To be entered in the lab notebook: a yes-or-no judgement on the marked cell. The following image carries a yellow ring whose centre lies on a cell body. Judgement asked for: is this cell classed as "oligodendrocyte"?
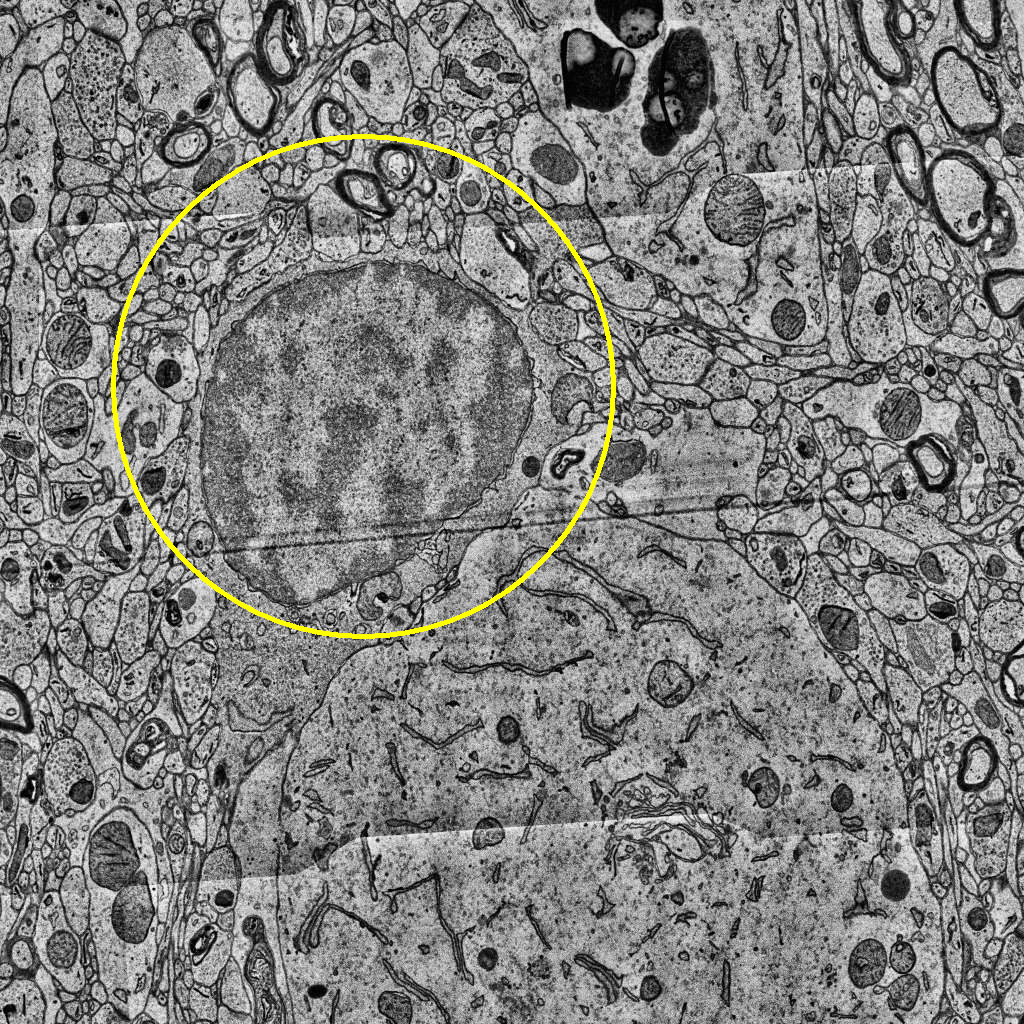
Yes, it is classed that way.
